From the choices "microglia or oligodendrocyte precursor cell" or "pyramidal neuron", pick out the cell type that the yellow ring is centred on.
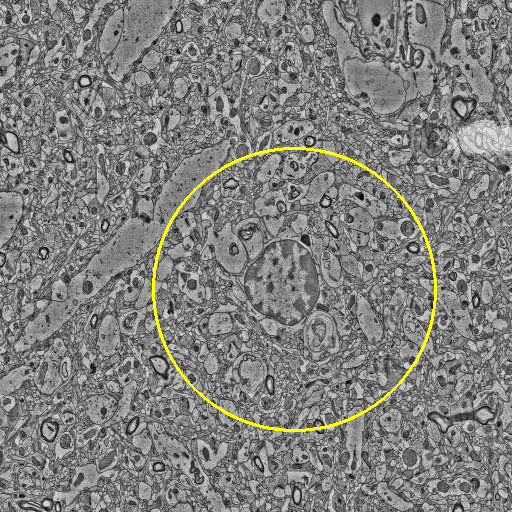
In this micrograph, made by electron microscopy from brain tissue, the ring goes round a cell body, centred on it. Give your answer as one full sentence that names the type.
The yellow ring is centred on a microglial cell or oligodendrocyte precursor cell, whose cell body it encircles in the picture.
